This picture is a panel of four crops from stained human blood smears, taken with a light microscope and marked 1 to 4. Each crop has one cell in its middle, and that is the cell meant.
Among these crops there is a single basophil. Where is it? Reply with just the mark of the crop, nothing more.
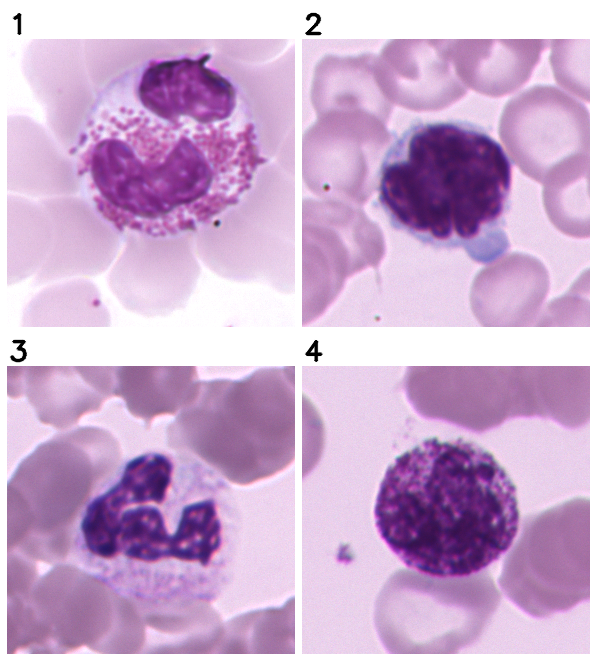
4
